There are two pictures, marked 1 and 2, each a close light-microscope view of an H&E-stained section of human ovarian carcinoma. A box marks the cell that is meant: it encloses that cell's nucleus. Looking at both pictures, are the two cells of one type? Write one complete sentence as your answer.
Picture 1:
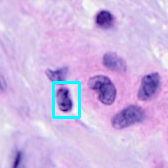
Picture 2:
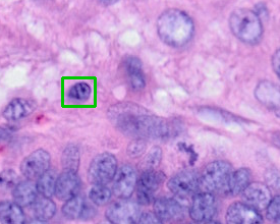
Yes; the cells in both pictures are lymphocytes.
